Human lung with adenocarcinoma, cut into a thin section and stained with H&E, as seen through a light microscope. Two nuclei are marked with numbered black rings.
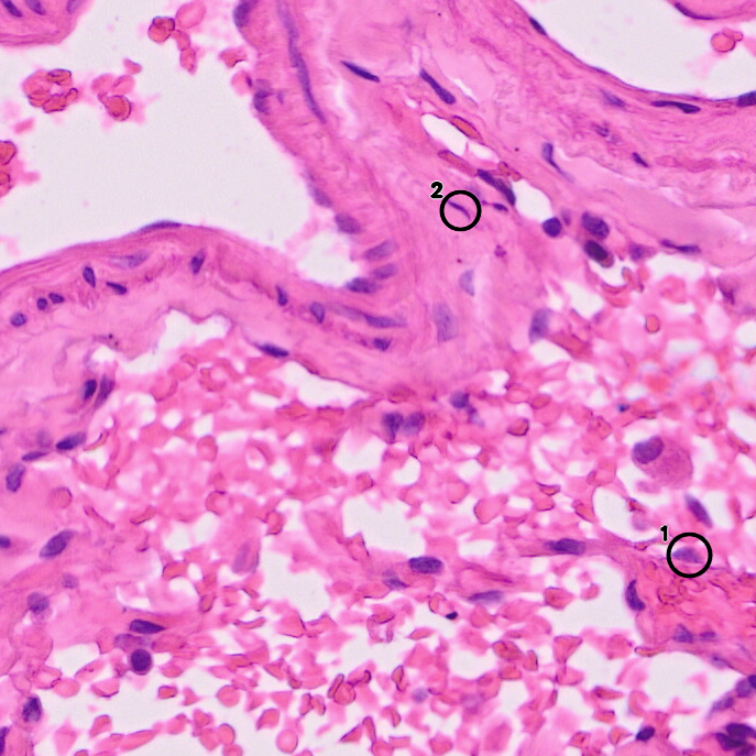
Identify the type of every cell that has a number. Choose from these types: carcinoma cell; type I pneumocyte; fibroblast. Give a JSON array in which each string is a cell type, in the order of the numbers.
["type I pneumocyte", "fibroblast"]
